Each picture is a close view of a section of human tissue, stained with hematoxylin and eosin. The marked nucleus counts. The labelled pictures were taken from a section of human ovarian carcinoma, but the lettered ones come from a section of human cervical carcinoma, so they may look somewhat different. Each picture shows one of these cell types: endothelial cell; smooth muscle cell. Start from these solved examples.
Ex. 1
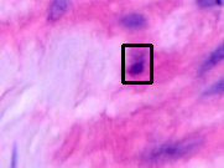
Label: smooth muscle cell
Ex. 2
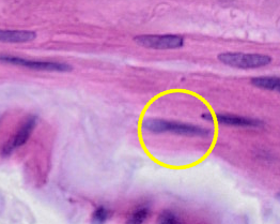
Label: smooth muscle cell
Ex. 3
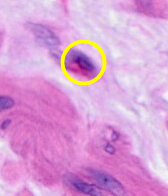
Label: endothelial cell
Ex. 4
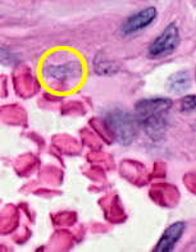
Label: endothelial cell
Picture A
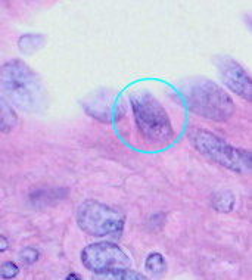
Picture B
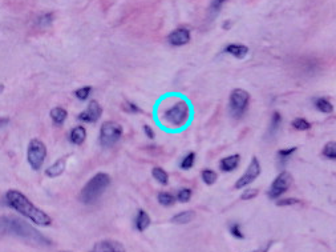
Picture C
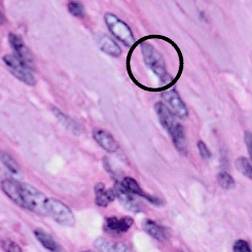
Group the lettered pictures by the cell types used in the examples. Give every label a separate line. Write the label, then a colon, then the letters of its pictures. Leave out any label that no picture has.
endothelial cell: A, C
smooth muscle cell: B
